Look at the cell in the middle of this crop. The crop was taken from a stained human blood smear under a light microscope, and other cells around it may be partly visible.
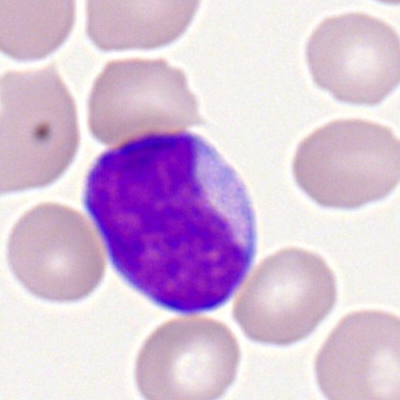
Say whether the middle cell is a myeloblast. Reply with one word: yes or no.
yes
